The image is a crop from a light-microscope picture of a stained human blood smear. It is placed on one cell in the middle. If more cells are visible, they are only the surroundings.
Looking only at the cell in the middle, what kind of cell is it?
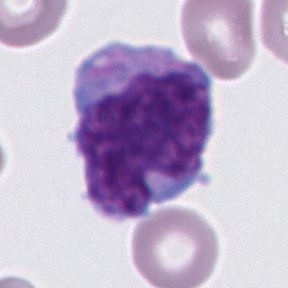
atypical promyelocyte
